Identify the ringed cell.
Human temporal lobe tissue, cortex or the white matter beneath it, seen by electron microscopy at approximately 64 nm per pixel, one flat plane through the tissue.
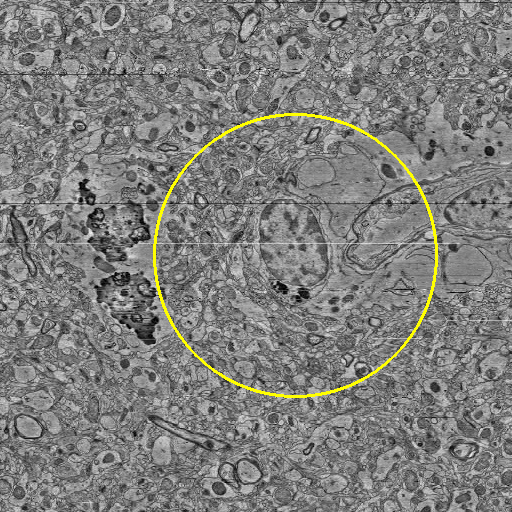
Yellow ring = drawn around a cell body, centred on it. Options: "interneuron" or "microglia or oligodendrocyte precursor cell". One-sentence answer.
What the ring is centred on is a microglial cell or oligodendrocyte precursor cell.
